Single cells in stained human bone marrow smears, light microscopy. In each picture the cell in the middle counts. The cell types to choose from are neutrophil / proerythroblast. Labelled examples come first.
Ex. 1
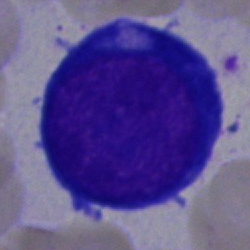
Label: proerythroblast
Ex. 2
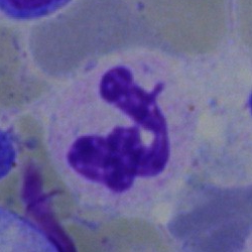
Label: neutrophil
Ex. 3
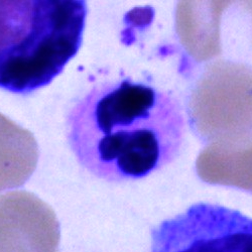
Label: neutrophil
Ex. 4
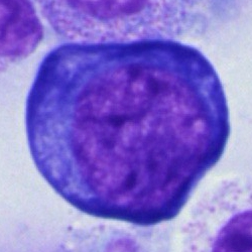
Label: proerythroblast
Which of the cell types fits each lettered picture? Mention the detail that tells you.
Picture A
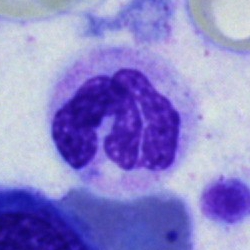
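neutrophil. The chromatin is dark purple and coarsely clumped.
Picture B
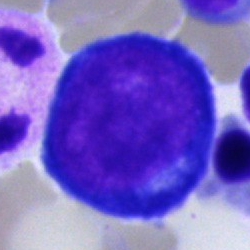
proerythroblast. The nucleus fills almost the whole cell.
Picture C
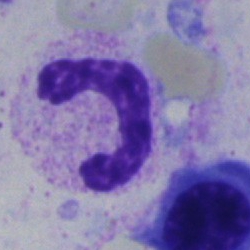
neutrophil. The chromatin is dark purple and coarsely clumped.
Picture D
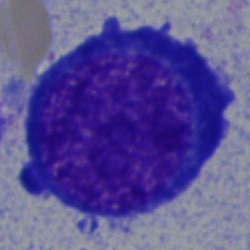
proerythroblast. A narrow rim of deep blue cytoplasm surrounds the nucleus.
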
